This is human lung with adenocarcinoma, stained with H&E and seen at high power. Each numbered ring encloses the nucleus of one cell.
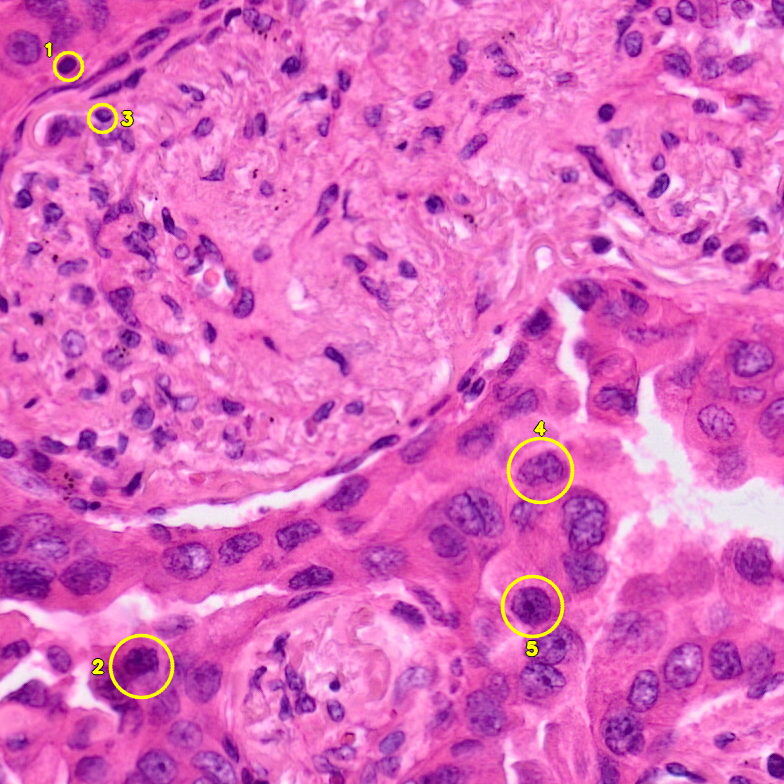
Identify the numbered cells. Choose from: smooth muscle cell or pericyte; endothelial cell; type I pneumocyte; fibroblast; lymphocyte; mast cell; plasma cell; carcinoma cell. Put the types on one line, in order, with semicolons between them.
lymphocyte; carcinoma cell; lymphocyte; carcinoma cell; carcinoma cell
